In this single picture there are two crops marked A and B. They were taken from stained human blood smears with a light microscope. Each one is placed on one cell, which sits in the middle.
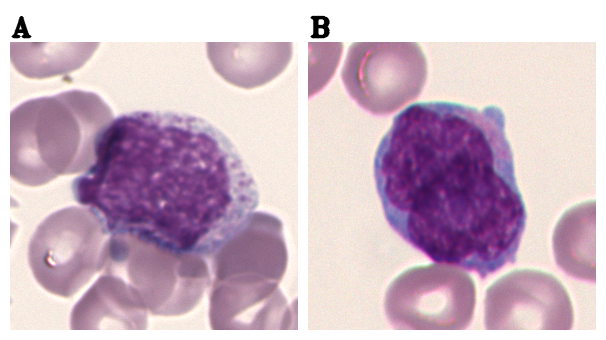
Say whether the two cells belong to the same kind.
no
